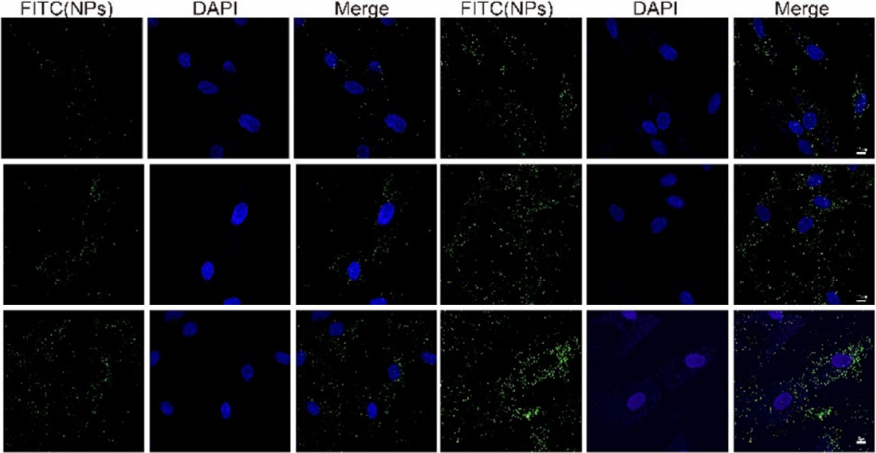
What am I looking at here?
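The nuclei are single, oval to round, evenly blue and widely spaced, and the cell bodies themselves are not outlined. Fine green puncta are scattered in the fields around and between the nuclei. The puncta are more numerous in the later rows and in the right-hand block than in the upper left images.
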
